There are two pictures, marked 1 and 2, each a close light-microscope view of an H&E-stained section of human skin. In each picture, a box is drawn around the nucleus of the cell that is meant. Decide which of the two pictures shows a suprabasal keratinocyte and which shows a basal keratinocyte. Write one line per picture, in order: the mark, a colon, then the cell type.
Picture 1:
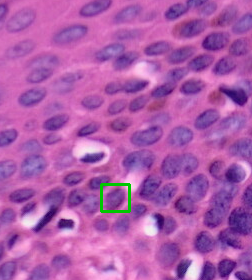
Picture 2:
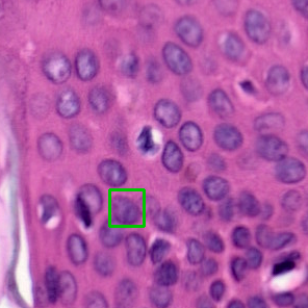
1: basal keratinocyte
2: suprabasal keratinocyte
